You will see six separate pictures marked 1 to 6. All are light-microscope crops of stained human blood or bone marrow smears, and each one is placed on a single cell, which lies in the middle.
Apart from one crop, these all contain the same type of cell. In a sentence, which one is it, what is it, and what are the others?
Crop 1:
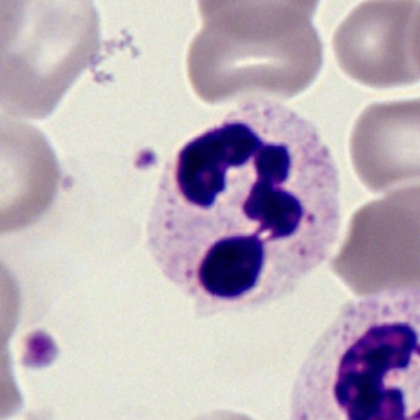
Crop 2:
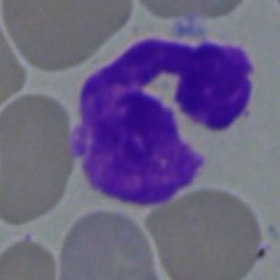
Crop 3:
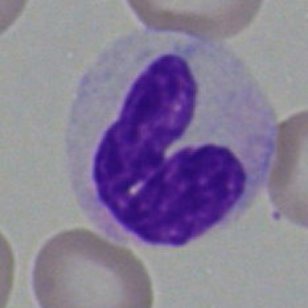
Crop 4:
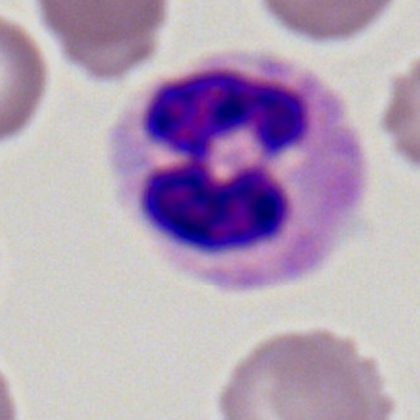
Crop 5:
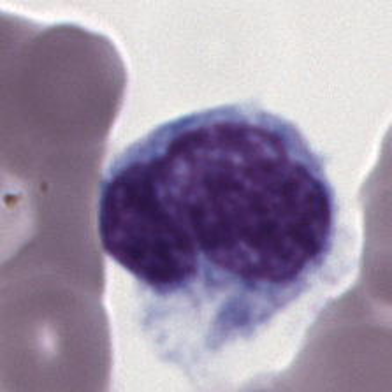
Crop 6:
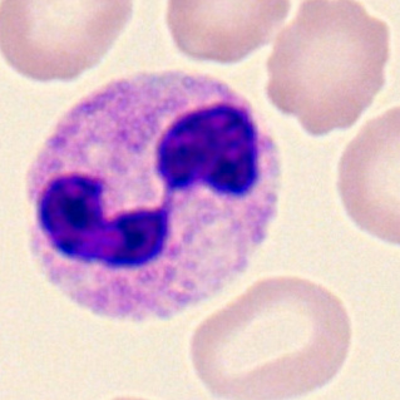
In this set, all crops show segmented neutrophils apart from crop 5, which is a monocyte.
